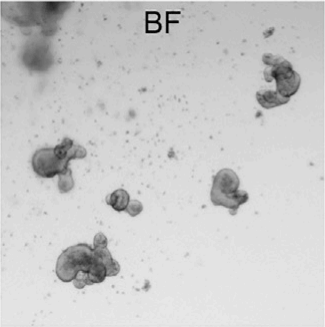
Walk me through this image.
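Small intestinal organoids are seen as compact, irregularly lobed bodies scattered in the culture matrix. The organoids differ in size, the smallest being nearly round with few buds. Small dark particles of debris lie scattered in the surrounding matrix.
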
